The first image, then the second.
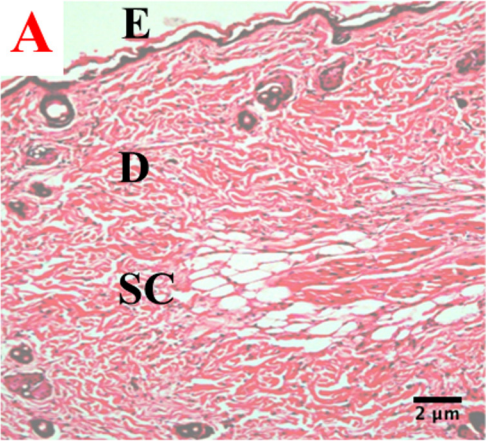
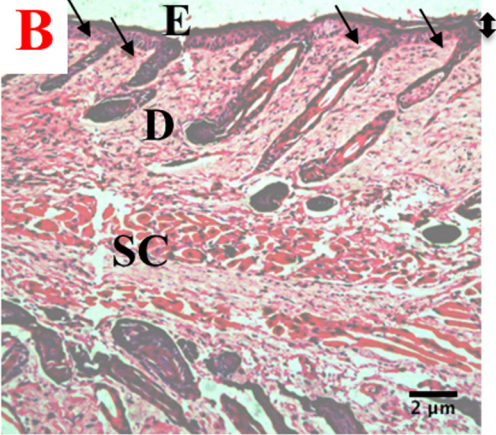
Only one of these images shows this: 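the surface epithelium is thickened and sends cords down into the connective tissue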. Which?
The second image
